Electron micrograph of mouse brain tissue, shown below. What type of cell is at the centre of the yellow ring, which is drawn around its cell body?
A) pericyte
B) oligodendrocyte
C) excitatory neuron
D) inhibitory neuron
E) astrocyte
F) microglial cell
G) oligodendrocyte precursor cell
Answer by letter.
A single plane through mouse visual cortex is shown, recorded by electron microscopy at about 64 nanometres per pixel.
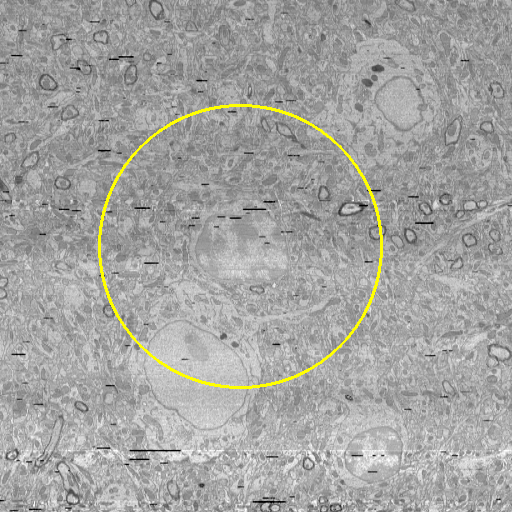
B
